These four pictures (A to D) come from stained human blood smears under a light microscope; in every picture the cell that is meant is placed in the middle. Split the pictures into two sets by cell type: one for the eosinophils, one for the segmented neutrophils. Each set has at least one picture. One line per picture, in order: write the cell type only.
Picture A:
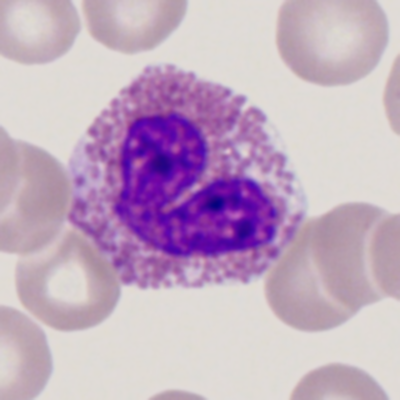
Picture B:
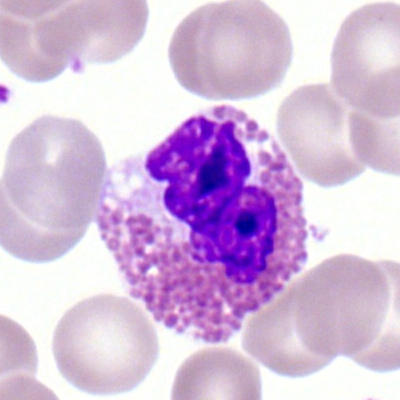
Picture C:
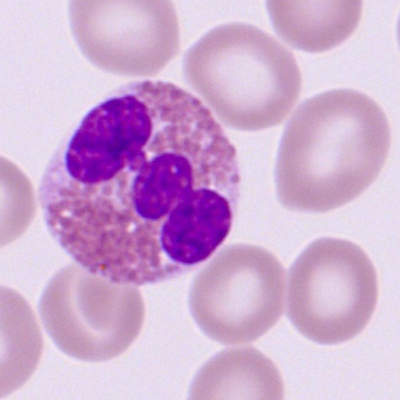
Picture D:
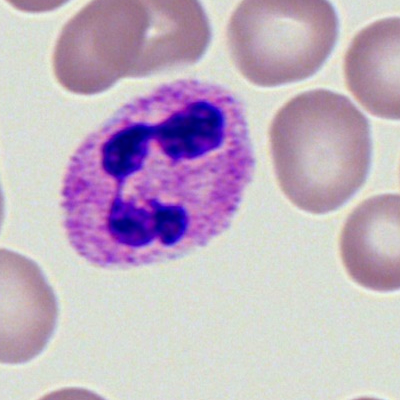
eosinophil
eosinophil
eosinophil
segmented neutrophil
